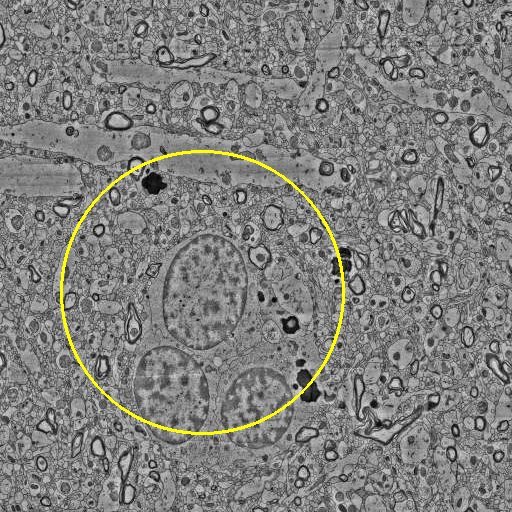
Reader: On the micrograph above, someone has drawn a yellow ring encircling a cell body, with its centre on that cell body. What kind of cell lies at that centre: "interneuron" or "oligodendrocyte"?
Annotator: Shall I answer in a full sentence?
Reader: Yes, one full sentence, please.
Here an oligodendrocyte sits at the centre of the yellow ring drawn on the micrograph.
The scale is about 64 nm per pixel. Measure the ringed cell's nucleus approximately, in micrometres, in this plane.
In this plane, the nucleus of the cell at the centre of the ring measures about 7 by 5 micrometres.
